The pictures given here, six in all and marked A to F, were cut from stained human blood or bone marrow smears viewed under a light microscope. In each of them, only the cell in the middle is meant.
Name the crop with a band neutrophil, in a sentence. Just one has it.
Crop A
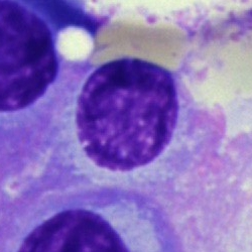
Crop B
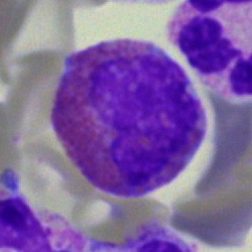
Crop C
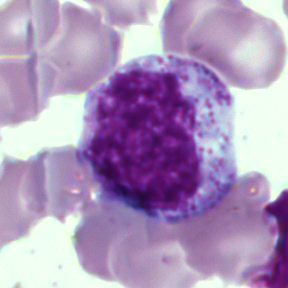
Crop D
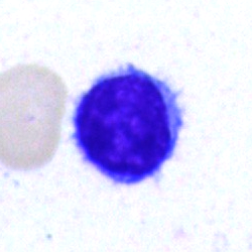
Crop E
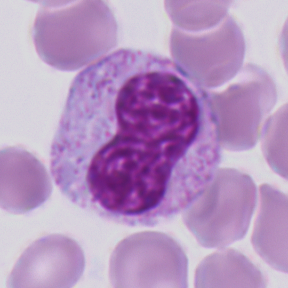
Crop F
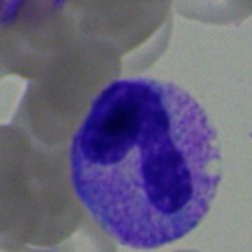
It is in crop F that a band neutrophil is shown.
